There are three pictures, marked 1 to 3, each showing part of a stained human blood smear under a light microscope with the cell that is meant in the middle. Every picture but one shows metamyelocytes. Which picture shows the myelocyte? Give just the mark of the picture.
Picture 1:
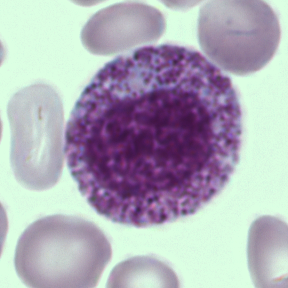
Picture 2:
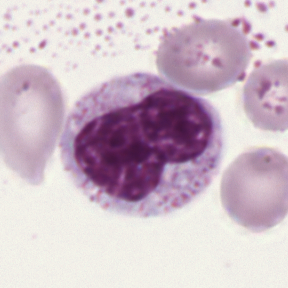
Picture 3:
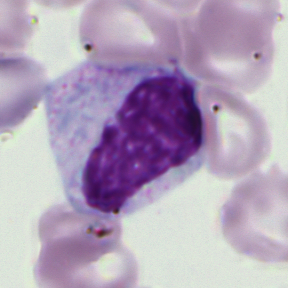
1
